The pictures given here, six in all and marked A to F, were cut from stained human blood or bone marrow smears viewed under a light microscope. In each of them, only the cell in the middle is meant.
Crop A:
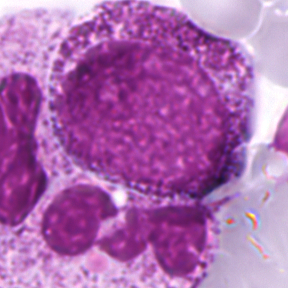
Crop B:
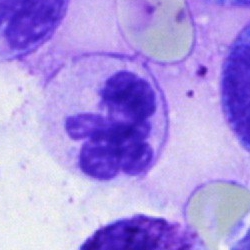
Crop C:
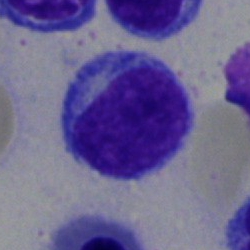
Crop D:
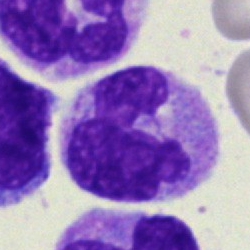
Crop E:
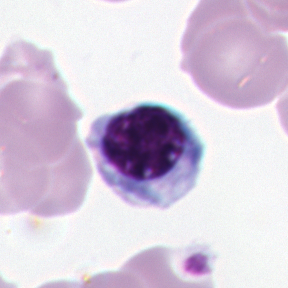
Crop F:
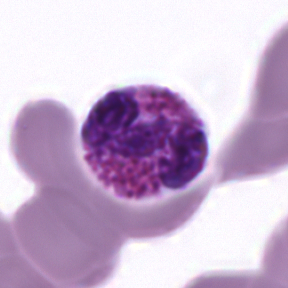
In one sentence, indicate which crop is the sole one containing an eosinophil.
Of the labelled crops, the one that shows an eosinophil is crop F.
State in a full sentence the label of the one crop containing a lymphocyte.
Selected crop: C, which is the one that shows a lymphocyte.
